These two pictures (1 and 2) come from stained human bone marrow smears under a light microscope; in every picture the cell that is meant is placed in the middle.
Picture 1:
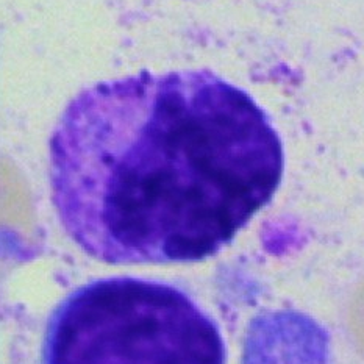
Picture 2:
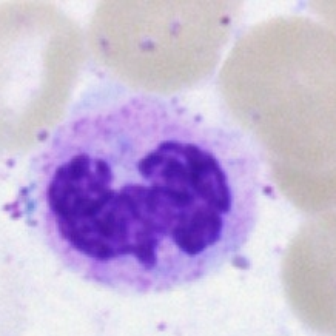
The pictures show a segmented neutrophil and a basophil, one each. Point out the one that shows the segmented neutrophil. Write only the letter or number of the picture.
2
